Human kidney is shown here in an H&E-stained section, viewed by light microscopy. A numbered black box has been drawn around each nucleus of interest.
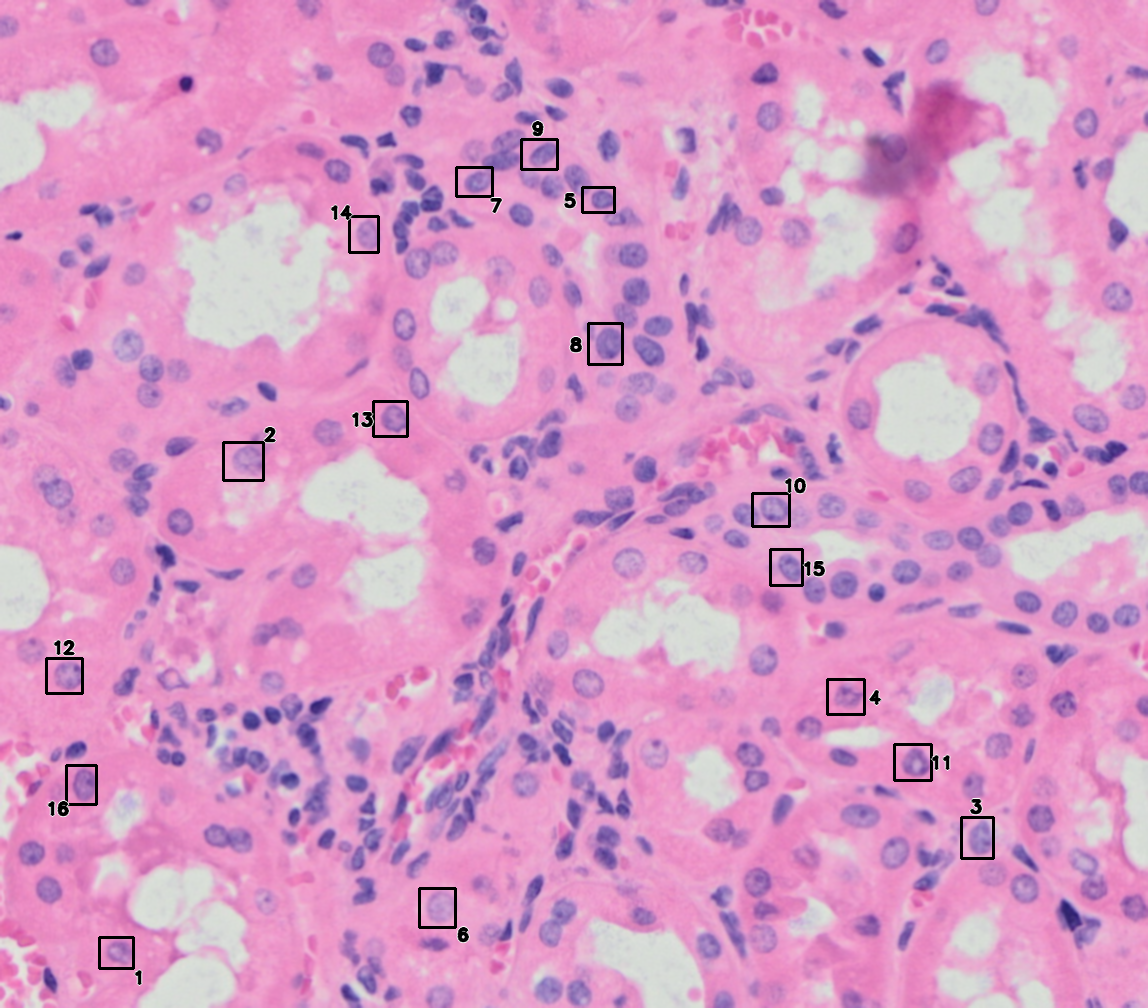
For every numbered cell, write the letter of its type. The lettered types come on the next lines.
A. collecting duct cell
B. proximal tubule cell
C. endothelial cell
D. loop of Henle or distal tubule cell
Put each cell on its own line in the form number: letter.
1: B
2: B
3: A
4: B
5: A
6: B
7: A
8: A
9: A
10: A
11: B
12: B
13: B
14: B
15: A
16: B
